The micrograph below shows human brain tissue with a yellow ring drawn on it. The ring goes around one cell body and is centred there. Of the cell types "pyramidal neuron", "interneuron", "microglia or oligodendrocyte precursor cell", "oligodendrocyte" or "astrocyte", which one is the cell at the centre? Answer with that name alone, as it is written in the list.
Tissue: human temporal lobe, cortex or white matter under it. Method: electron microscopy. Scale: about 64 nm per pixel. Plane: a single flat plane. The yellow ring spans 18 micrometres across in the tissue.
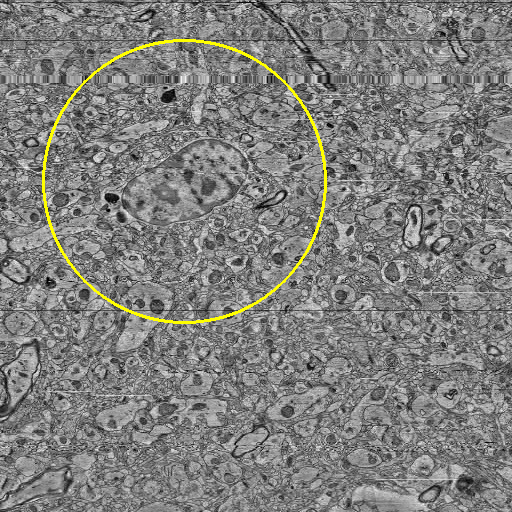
microglia or oligodendrocyte precursor cell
